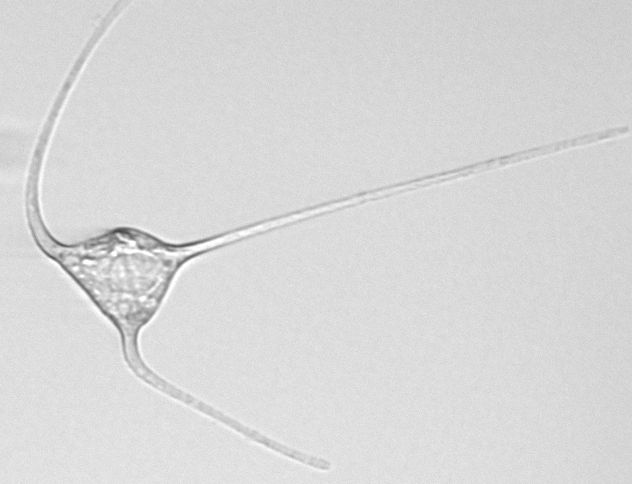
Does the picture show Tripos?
Yes.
